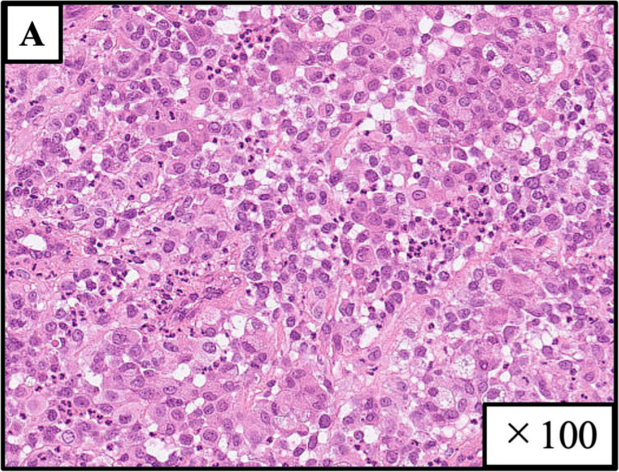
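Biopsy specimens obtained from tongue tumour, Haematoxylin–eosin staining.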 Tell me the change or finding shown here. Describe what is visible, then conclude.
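Nuclei vary clearly in size and shape. Cells lie in sheets separated by strands of pink stroma.
Answer: atypical cells with irregular nuclei of various sizes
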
